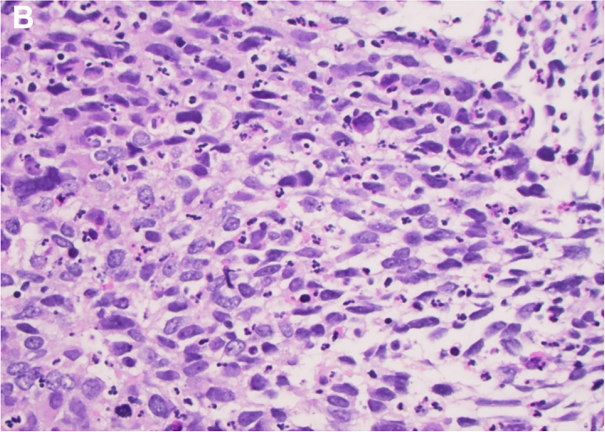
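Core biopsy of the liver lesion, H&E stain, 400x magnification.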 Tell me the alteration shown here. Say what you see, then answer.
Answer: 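Many nuclei stain deep purple. Several nuclei are very large and dark compared with neighbours. The answer: hyperchromasia.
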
